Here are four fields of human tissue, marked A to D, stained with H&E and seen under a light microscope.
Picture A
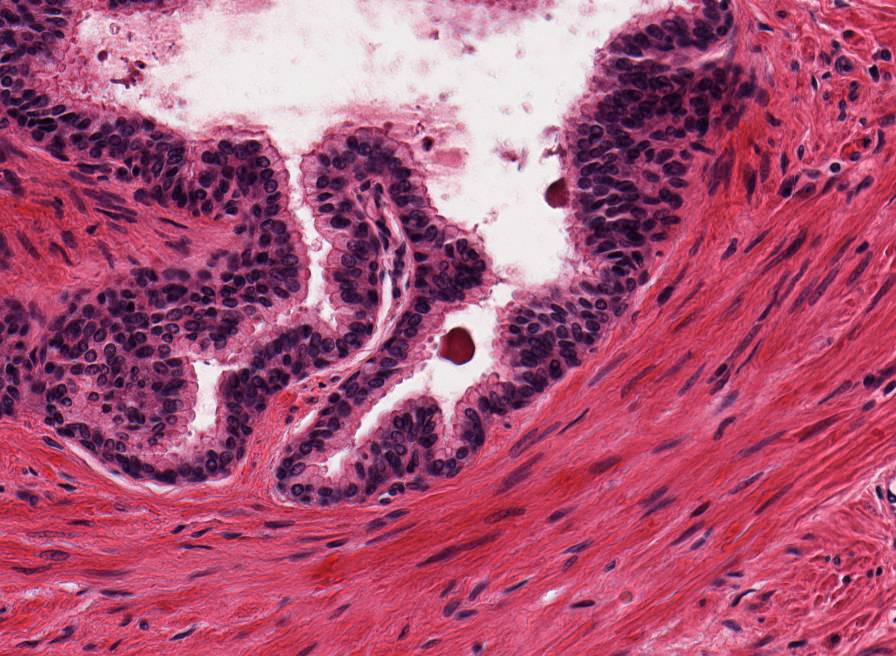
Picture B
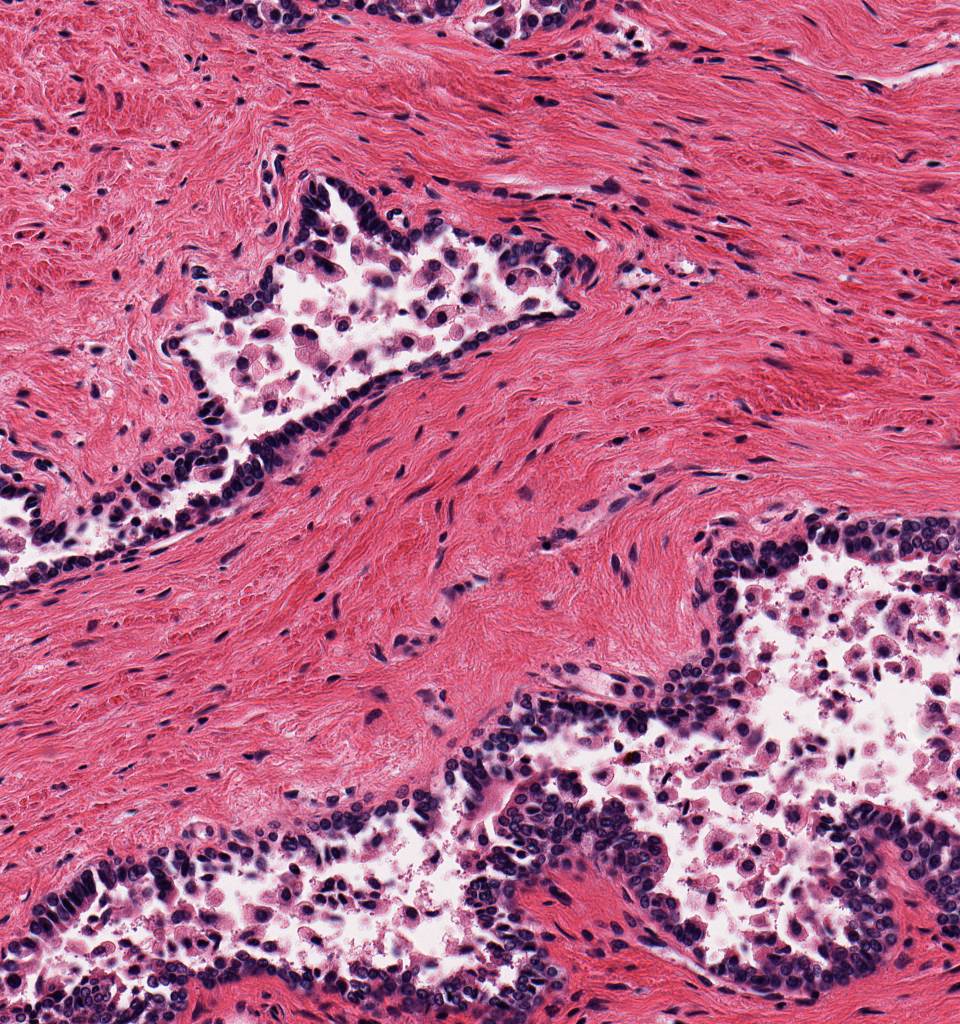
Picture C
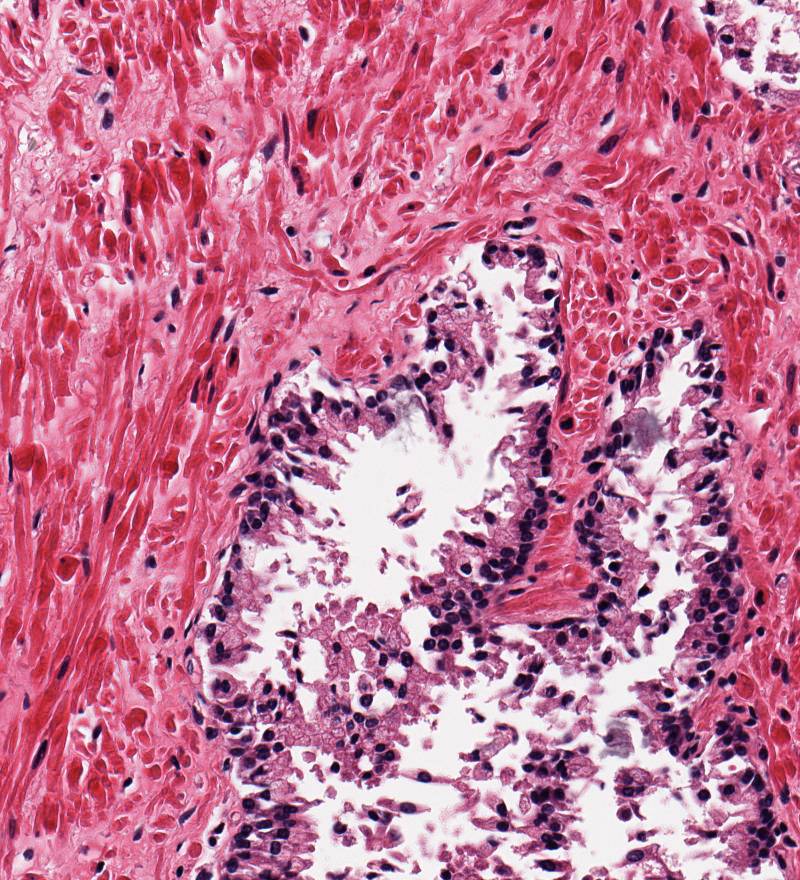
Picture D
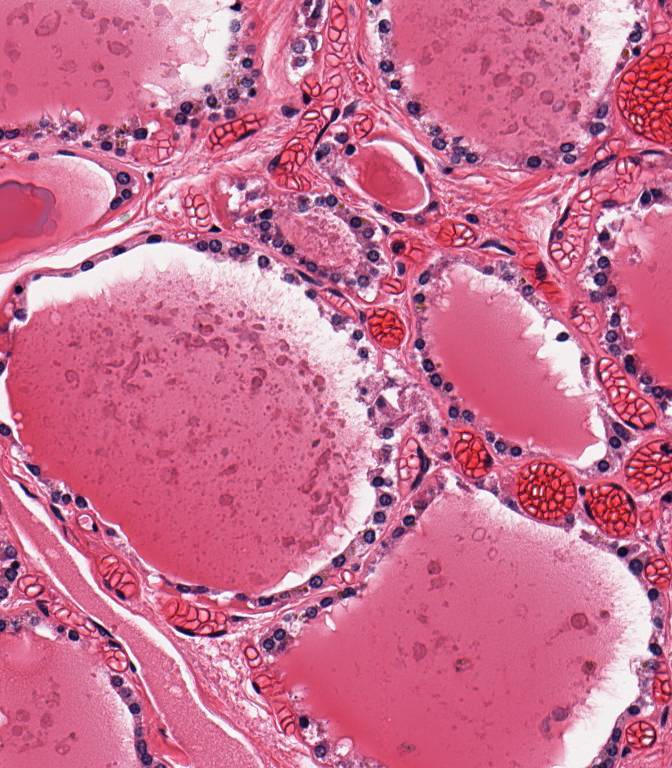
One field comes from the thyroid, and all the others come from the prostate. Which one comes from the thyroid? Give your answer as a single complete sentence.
The one that comes from the thyroid is picture D.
